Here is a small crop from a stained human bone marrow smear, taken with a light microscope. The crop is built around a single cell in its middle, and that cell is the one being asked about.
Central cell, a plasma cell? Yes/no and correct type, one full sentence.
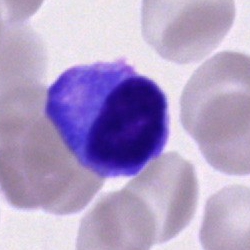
Yes, the cell of interest in the middle is a plasma cell.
